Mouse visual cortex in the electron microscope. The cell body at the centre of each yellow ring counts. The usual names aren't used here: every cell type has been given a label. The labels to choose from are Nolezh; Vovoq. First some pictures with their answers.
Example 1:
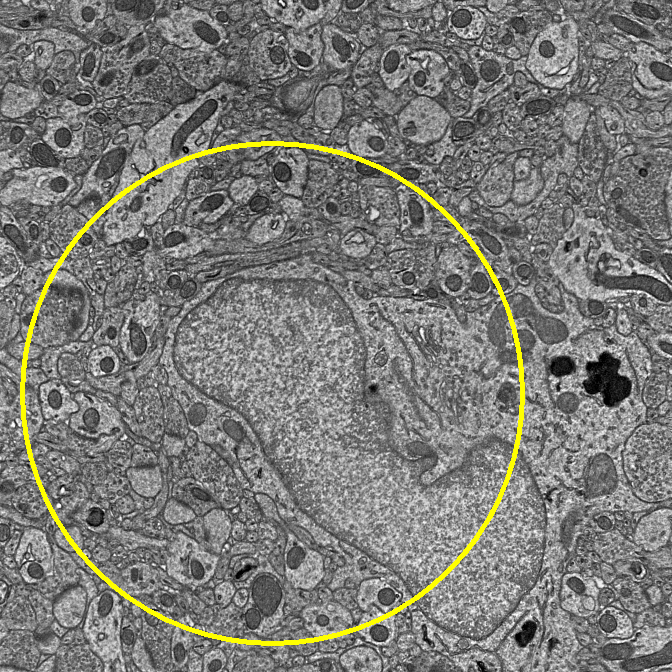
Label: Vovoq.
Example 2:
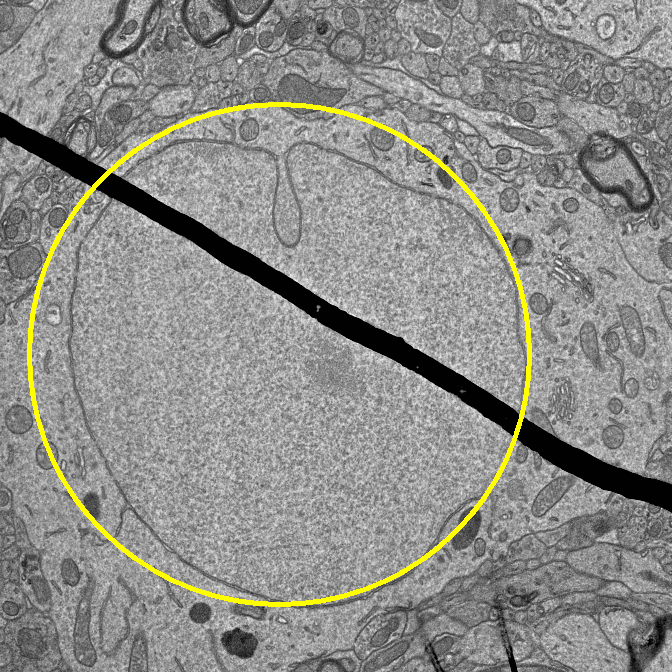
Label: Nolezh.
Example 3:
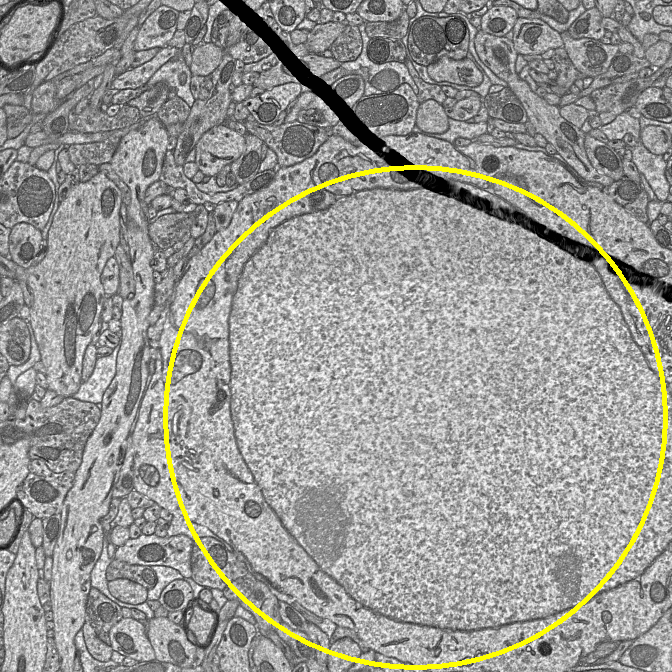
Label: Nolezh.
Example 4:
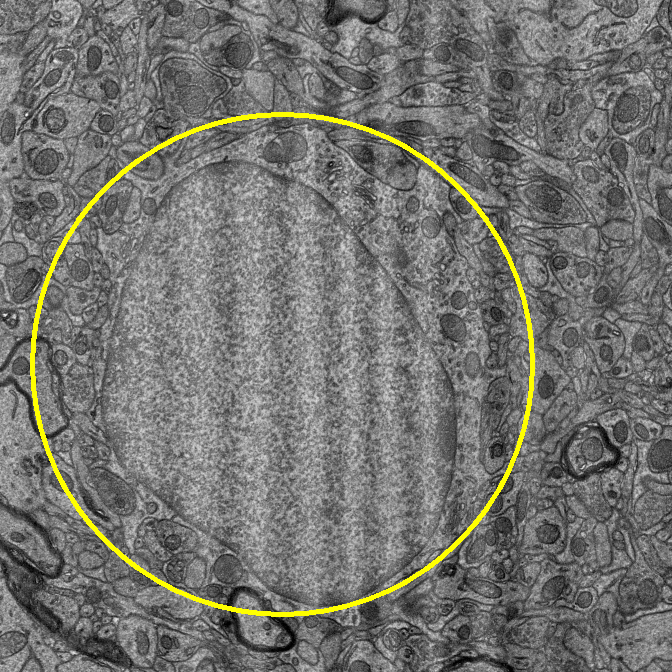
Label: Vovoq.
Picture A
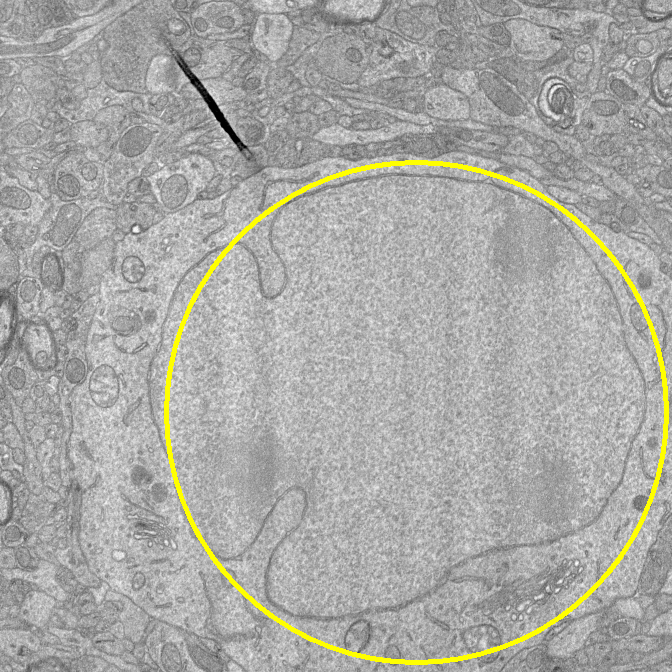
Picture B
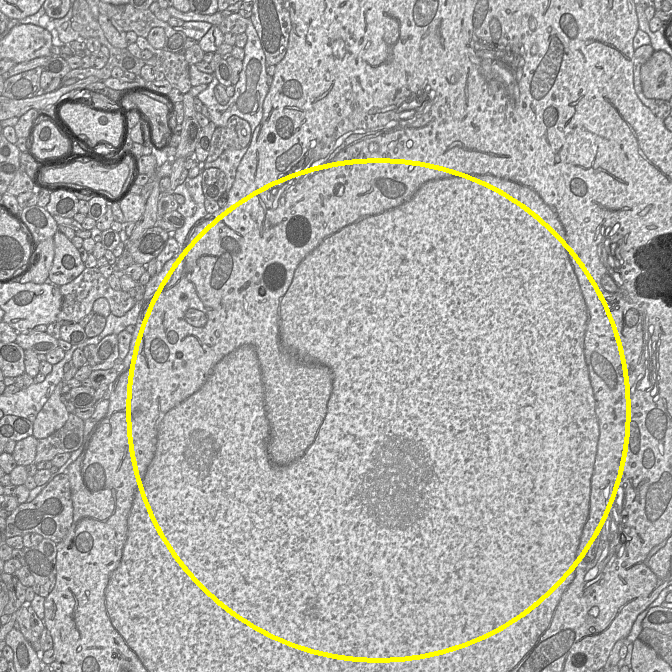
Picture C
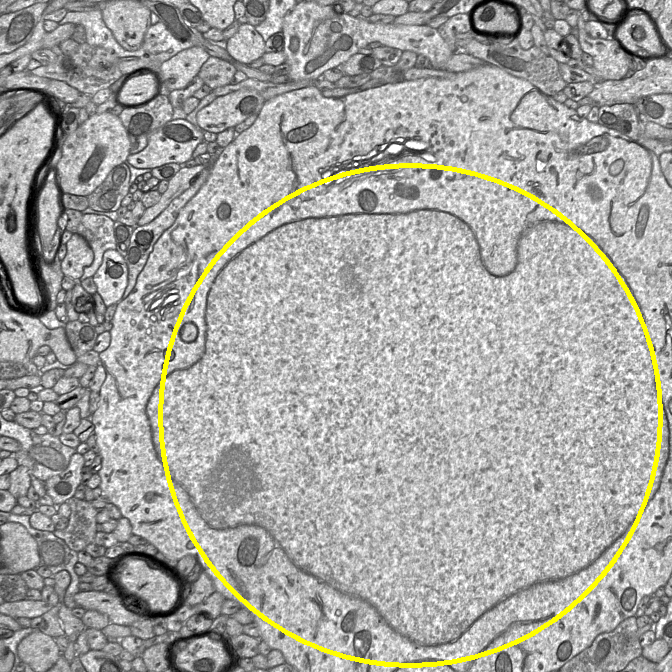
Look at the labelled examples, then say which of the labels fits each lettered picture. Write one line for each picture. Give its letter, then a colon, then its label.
A: Nolezh.
B: Nolezh.
C: Nolezh.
